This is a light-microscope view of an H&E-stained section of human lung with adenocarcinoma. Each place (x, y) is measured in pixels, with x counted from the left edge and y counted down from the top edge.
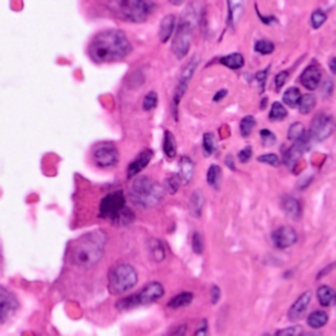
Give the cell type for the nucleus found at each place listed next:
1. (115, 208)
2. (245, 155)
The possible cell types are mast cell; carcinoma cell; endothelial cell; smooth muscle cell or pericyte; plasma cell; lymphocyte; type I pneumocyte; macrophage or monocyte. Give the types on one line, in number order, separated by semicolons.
carcinoma cell; lymphocyte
